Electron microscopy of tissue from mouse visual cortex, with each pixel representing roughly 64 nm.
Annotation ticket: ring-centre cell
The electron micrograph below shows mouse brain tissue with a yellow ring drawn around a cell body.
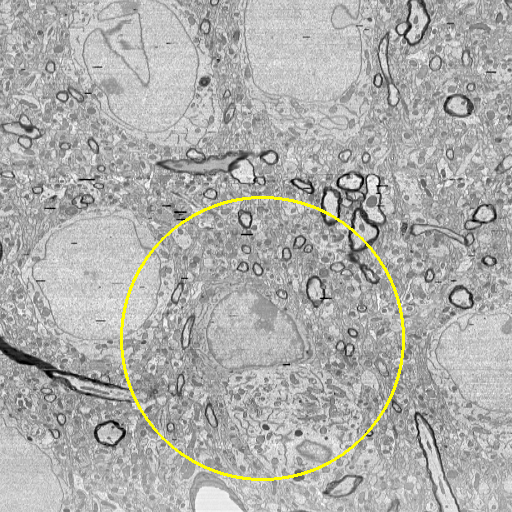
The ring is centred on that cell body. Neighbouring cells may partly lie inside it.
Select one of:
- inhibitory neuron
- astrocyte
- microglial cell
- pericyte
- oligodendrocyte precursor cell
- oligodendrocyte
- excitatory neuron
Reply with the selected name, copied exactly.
oligodendrocyte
